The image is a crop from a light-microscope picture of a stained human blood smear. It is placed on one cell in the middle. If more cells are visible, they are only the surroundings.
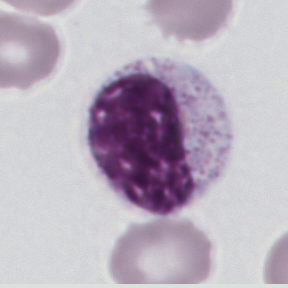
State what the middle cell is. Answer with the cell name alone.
metamyelocyte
